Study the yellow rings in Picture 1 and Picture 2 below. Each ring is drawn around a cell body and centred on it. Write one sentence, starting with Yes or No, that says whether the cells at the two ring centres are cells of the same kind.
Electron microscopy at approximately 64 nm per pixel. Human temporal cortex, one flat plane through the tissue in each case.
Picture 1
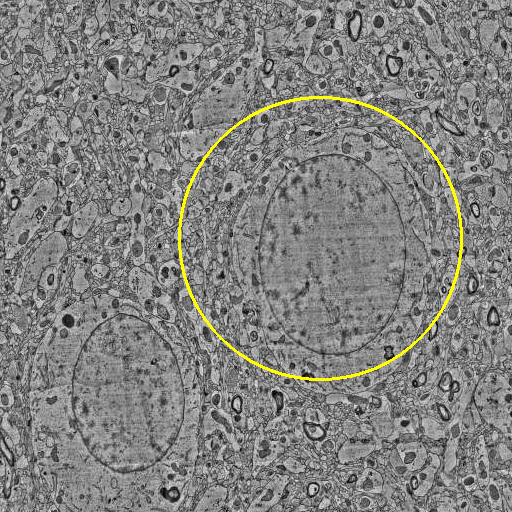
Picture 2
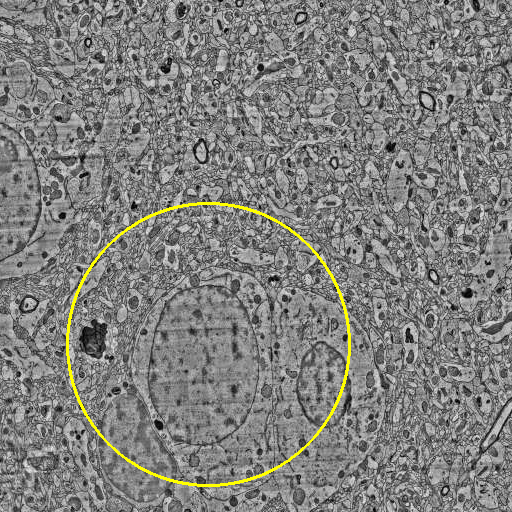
Yes, the cells at both ring centres are of the same kind.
